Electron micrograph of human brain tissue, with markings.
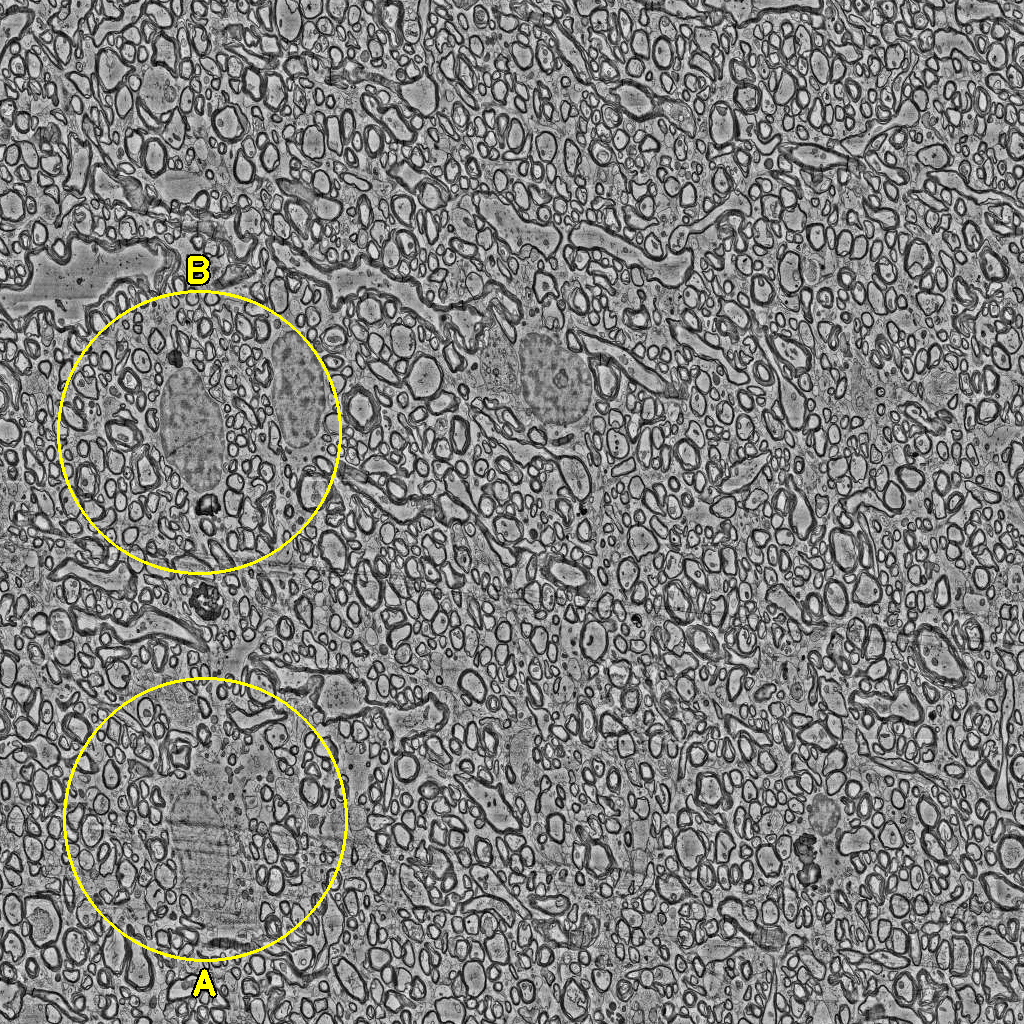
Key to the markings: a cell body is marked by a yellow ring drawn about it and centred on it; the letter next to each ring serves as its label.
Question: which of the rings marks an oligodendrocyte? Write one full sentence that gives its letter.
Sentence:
In this picture, the ring marking that kind of cell has the letter B.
